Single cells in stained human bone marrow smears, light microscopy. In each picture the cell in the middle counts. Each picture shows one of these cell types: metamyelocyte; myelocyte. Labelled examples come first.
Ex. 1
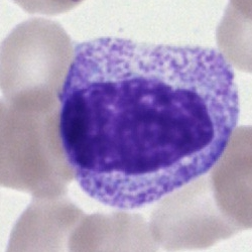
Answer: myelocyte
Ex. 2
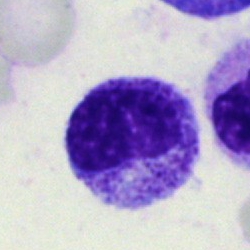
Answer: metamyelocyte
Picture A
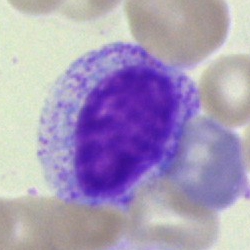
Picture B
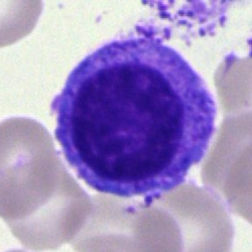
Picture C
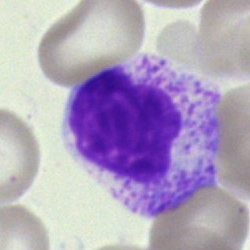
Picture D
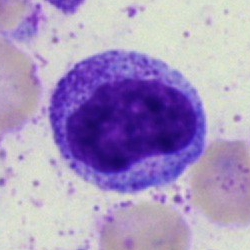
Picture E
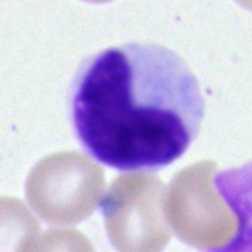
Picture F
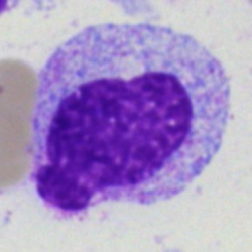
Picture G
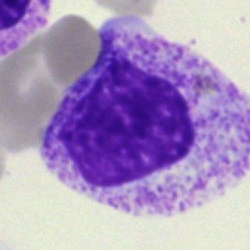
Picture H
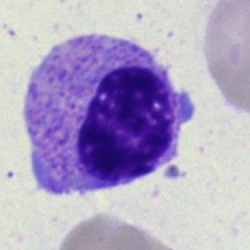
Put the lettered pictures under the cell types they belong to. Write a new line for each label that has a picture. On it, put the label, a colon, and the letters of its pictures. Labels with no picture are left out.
metamyelocyte: E
myelocyte: A, B, C, D, F, G, H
